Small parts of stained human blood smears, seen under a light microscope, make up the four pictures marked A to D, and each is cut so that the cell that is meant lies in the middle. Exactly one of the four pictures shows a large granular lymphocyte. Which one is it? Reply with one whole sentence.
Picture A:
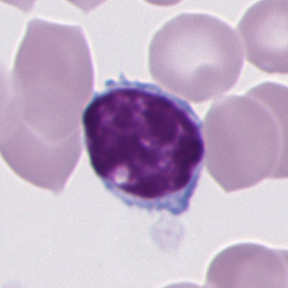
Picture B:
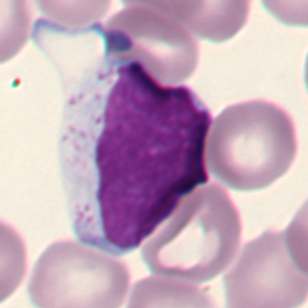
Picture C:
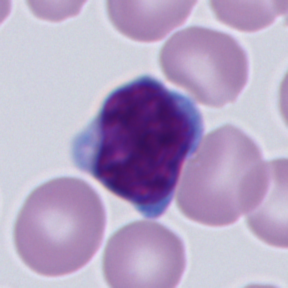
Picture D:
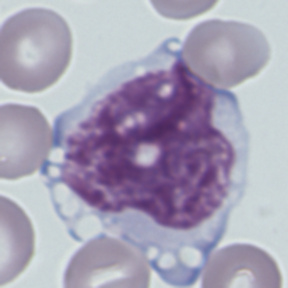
The cell in picture B is the large granular lymphocyte.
